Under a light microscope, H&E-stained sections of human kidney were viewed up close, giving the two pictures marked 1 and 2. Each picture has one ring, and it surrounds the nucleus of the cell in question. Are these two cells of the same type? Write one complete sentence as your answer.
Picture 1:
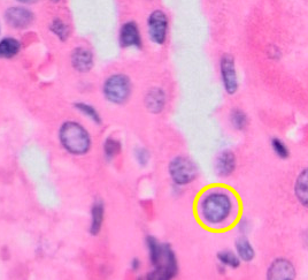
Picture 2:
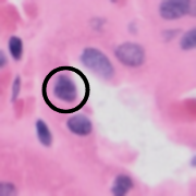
Yes, both are “loop of Henle or distal tubule cells”.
